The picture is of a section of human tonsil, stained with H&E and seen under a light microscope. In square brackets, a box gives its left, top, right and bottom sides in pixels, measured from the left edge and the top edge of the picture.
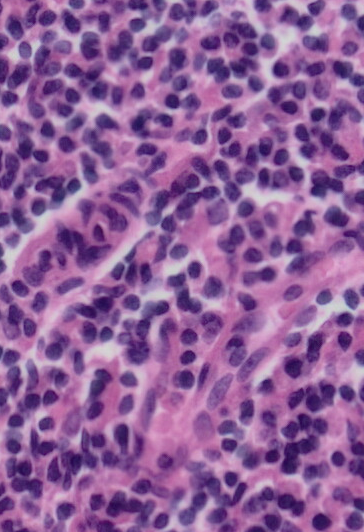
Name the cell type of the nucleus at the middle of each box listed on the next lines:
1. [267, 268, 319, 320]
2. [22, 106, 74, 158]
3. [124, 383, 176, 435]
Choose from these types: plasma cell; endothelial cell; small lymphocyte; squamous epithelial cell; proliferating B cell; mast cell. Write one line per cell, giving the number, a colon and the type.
1: endothelial cell
2: small lymphocyte
3: endothelial cell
